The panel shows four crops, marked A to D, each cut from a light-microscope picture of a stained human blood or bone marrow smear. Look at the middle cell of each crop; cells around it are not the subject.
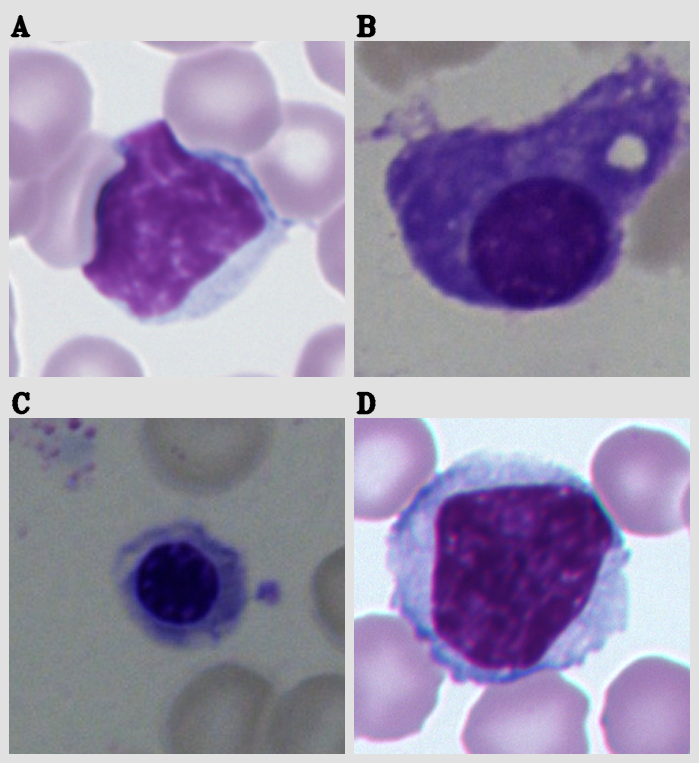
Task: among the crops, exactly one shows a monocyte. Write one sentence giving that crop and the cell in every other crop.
Crop by crop: crop D is a monocyte, while crop A is a lymphocyte, crop B is a plasma cell and crop C is a normoblast.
